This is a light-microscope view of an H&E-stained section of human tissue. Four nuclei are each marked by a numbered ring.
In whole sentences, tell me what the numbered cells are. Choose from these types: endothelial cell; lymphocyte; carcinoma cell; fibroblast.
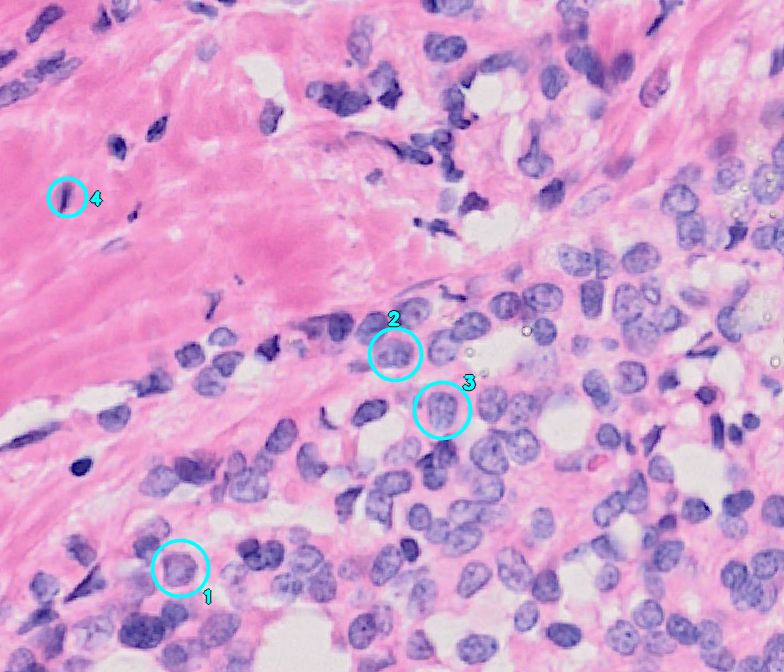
Cells 1, 2 and 3 are carcinoma cells. Cell 4 is a fibroblast.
